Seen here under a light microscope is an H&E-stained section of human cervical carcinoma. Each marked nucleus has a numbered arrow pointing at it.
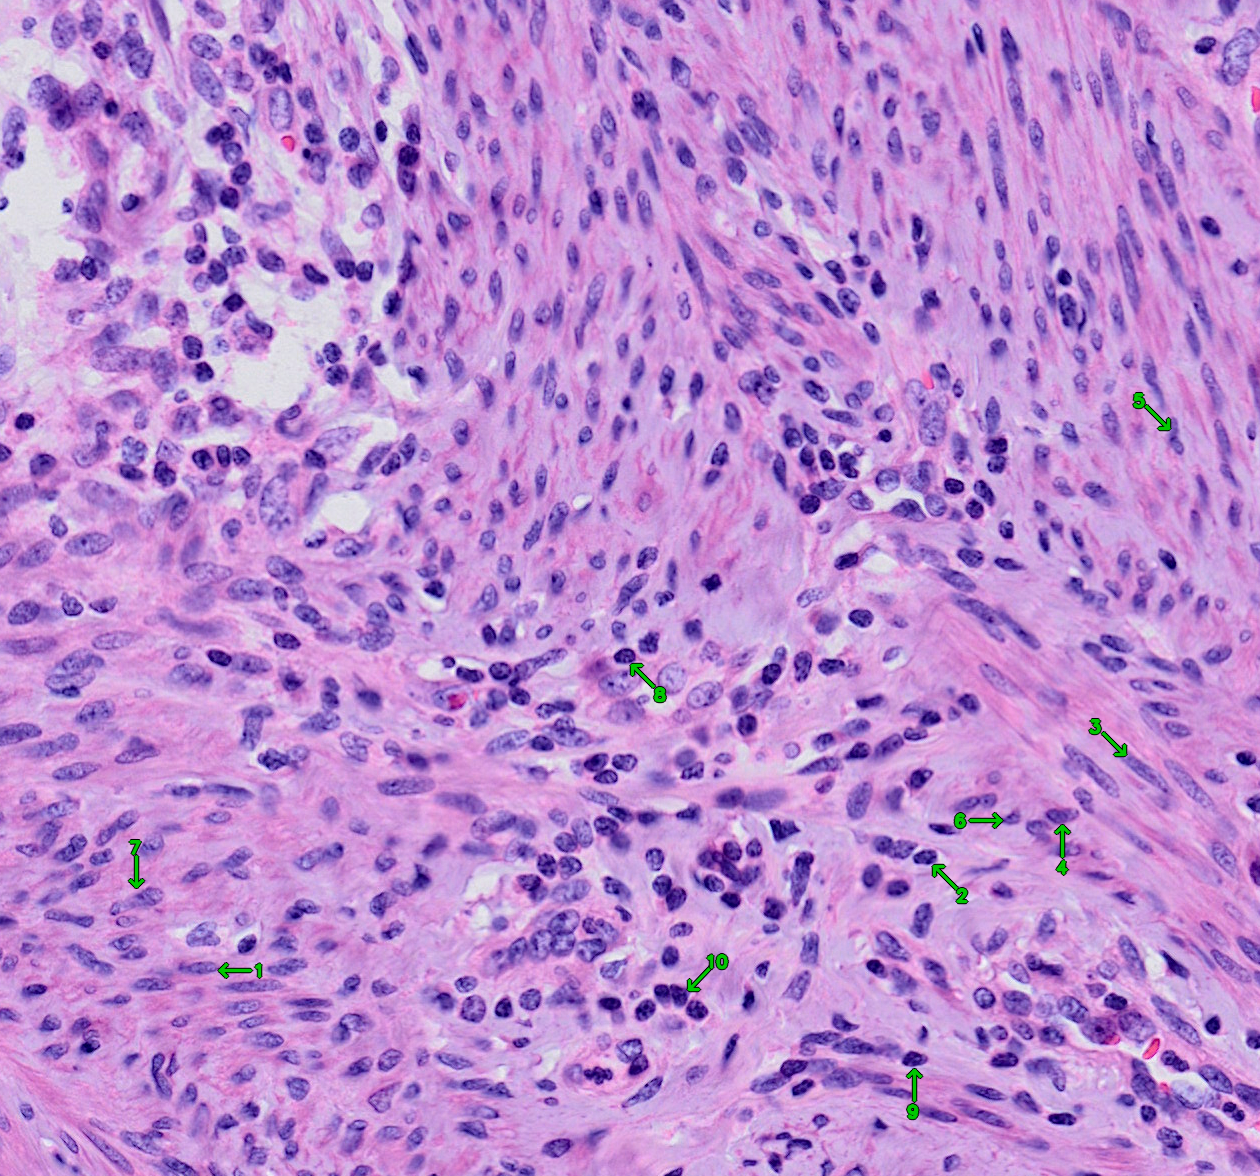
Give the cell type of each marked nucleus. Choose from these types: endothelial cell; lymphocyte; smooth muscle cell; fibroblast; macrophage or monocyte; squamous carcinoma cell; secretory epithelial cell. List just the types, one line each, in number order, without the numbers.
smooth muscle cell
lymphocyte
smooth muscle cell
smooth muscle cell
smooth muscle cell
smooth muscle cell
smooth muscle cell
lymphocyte
lymphocyte
lymphocyte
